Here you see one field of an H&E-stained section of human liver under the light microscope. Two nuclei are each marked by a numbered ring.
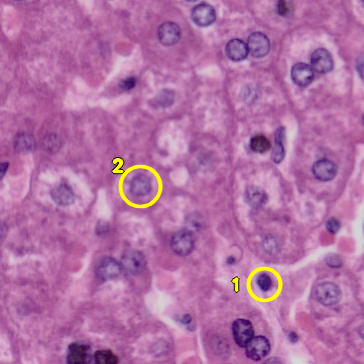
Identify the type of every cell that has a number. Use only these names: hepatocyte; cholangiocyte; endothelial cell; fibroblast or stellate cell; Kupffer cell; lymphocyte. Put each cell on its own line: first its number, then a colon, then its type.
1: lymphocyte
2: hepatocyte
